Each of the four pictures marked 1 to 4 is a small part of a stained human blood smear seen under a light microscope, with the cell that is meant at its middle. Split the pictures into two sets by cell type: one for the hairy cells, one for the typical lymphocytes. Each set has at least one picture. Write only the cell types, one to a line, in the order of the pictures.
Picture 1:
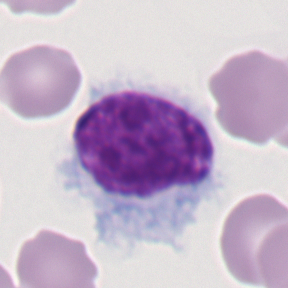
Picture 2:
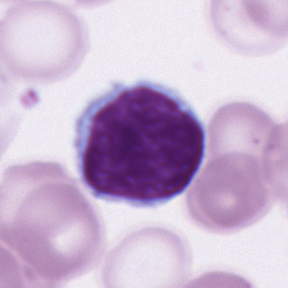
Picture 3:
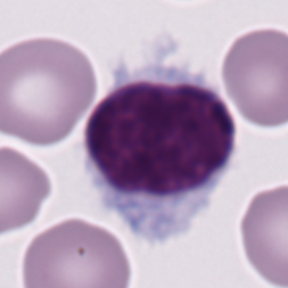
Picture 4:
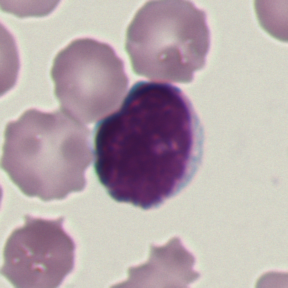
hairy cell
typical lymphocyte
hairy cell
typical lymphocyte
